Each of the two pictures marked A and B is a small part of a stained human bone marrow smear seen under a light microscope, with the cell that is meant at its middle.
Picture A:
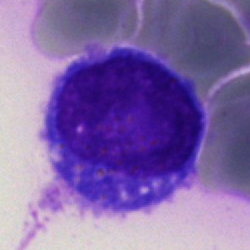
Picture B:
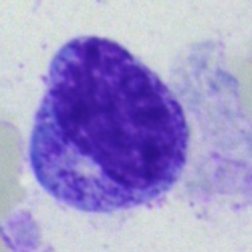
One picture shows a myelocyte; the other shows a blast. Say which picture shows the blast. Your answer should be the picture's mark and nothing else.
A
